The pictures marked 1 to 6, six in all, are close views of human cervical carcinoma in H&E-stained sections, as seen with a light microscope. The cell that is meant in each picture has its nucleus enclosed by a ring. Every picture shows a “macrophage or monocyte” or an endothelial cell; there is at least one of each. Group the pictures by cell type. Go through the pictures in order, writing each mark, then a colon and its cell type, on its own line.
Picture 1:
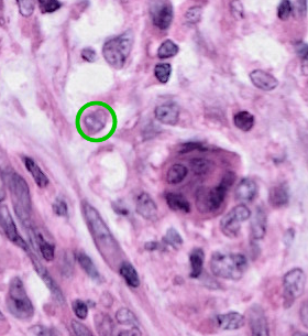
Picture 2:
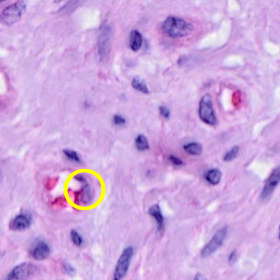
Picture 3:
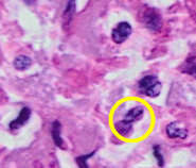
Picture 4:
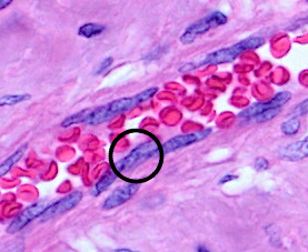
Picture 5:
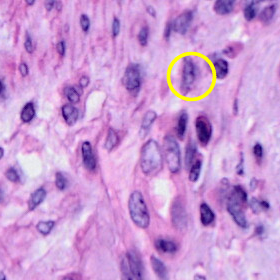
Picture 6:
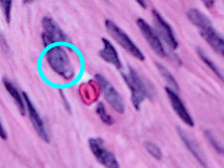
1: macrophage or monocyte
2: endothelial cell
3: macrophage or monocyte
4: endothelial cell
5: macrophage or monocyte
6: endothelial cell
